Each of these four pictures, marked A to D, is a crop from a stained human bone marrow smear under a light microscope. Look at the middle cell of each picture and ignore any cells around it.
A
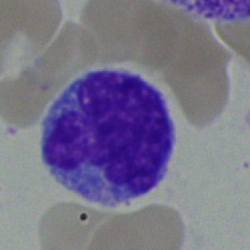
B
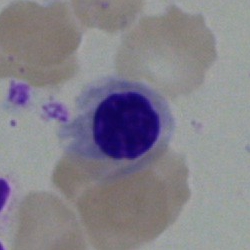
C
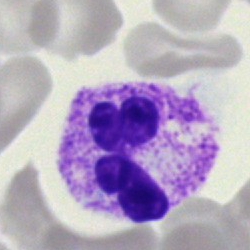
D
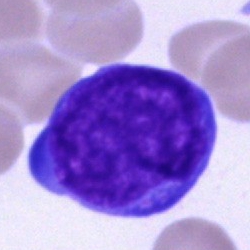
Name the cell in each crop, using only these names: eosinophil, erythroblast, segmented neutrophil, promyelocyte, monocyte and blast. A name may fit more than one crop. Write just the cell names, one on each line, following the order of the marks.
monocyte
erythroblast
segmented neutrophil
blast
